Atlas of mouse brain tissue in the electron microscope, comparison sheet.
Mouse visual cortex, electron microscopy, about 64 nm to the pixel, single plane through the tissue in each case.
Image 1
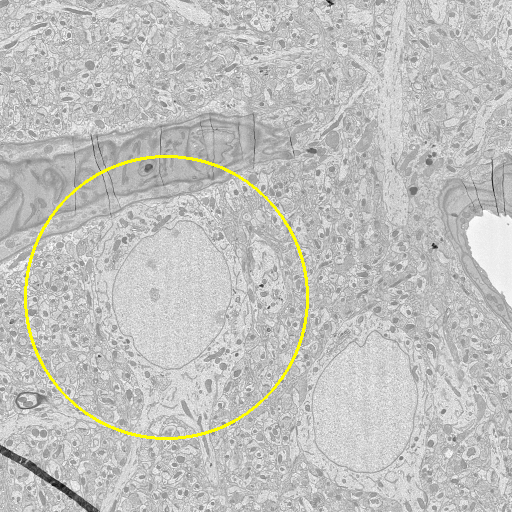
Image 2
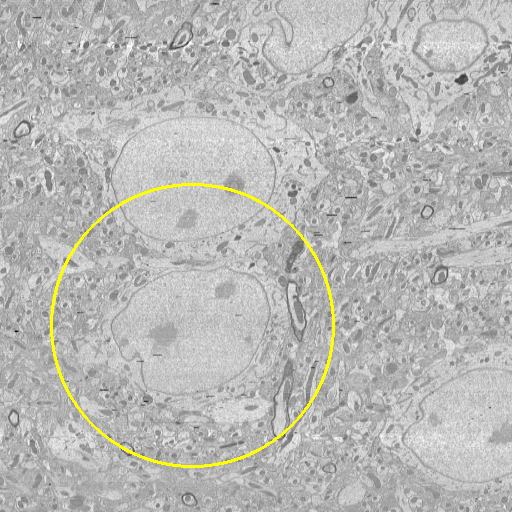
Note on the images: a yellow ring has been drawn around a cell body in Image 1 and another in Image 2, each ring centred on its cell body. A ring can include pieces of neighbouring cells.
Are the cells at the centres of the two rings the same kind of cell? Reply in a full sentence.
Yes, both cells are of the same kind.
